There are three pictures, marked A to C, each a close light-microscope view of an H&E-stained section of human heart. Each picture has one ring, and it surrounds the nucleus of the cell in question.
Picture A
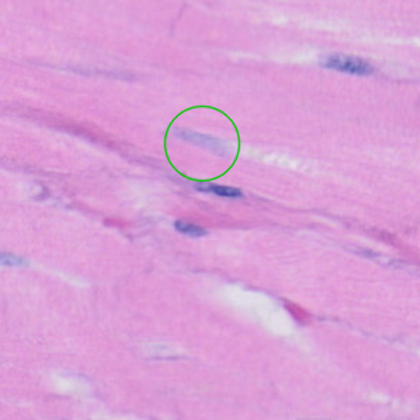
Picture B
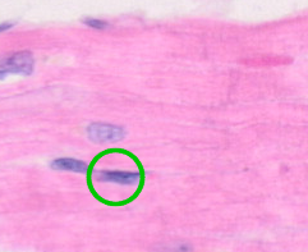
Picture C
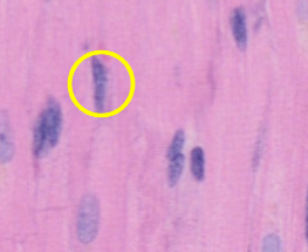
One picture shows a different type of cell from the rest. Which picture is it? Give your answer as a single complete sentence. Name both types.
The others show endothelial cells, but picture A shows a cardiomyocyte.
